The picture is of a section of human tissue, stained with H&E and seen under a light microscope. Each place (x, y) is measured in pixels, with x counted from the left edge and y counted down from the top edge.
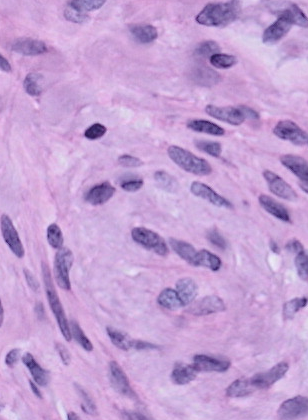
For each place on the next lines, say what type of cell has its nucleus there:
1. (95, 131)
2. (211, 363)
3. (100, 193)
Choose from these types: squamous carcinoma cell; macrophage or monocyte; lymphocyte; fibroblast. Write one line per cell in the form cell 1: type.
cell 1: lymphocyte
cell 2: fibroblast
cell 3: fibroblast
